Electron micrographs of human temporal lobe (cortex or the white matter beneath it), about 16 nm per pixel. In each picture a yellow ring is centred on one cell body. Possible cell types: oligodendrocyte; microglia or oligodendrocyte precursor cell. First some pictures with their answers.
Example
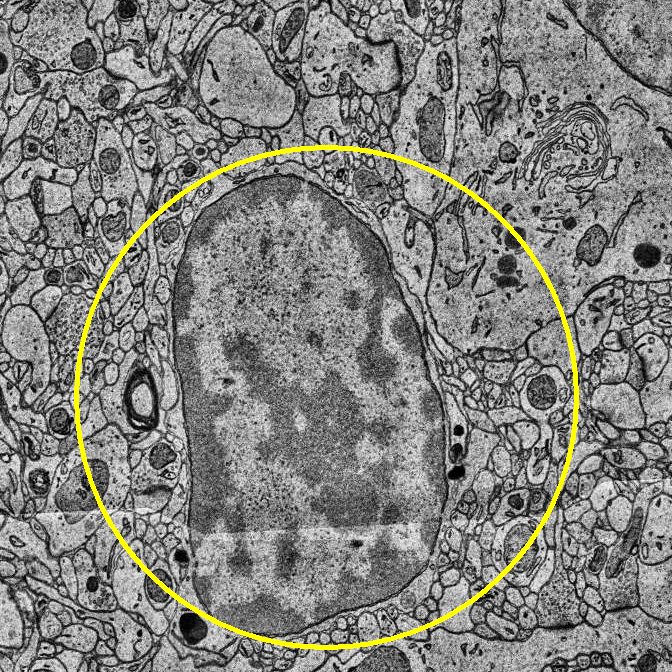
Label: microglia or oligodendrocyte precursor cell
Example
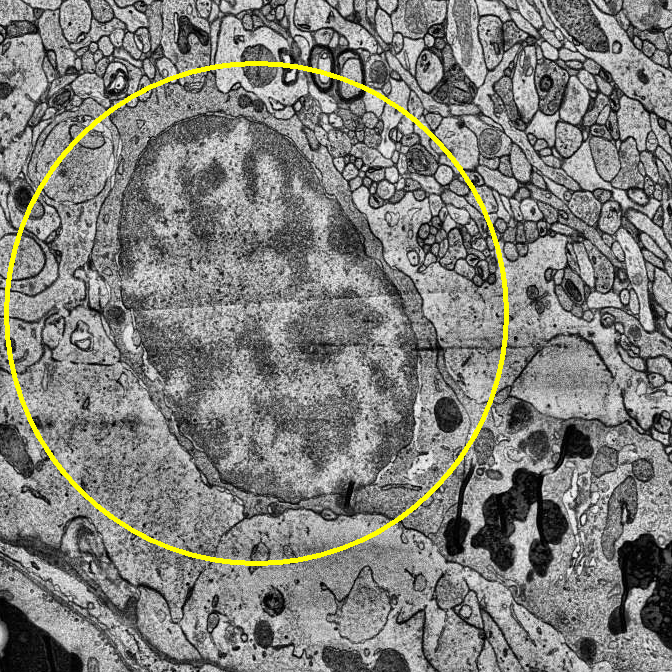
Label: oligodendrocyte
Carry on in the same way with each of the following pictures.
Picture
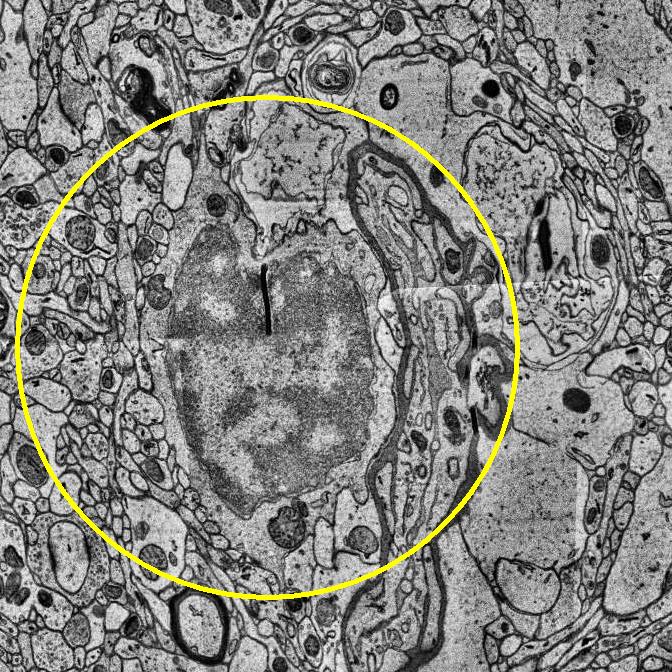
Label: oligodendrocyte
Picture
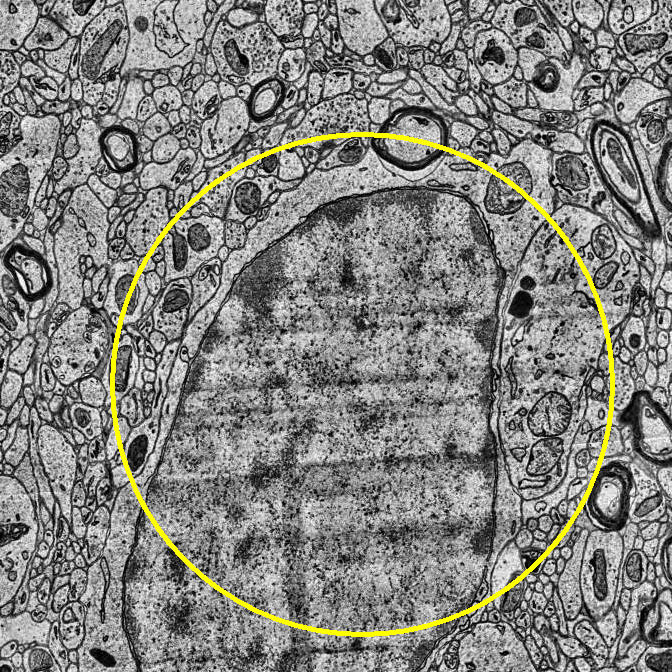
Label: microglia or oligodendrocyte precursor cell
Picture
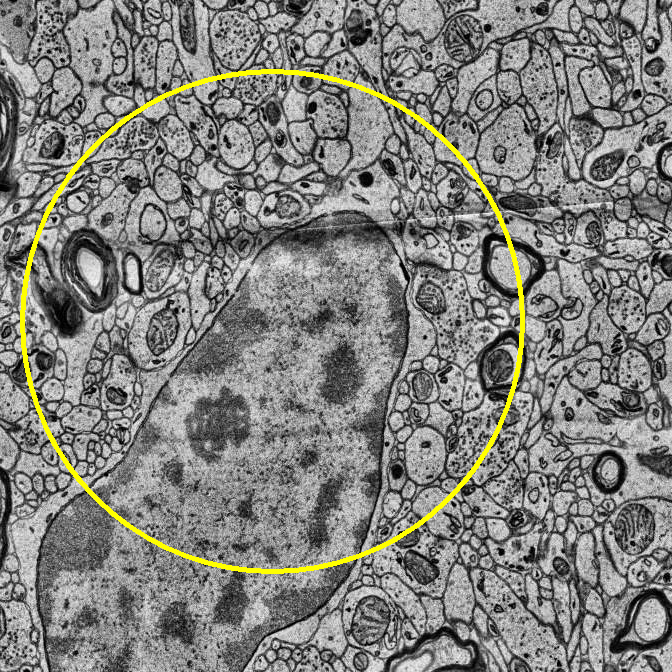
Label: microglia or oligodendrocyte precursor cell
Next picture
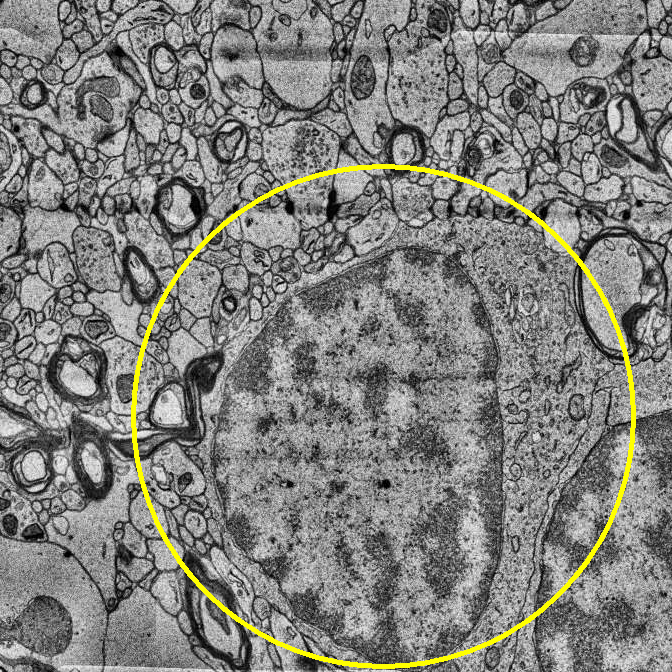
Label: oligodendrocyte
